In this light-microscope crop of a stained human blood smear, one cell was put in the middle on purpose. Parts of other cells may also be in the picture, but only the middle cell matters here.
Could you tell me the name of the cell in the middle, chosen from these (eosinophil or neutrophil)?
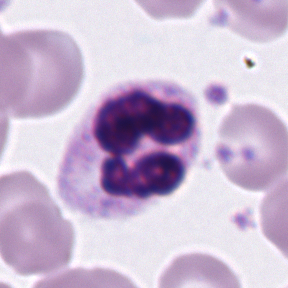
neutrophil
